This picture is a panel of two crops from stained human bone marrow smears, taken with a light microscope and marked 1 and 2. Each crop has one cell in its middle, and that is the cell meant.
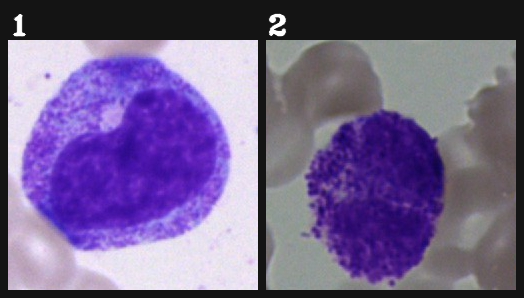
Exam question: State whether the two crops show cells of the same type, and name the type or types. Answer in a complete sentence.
No, crop 1 contains a promyelocyte, while crop 2 contains a basophil.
